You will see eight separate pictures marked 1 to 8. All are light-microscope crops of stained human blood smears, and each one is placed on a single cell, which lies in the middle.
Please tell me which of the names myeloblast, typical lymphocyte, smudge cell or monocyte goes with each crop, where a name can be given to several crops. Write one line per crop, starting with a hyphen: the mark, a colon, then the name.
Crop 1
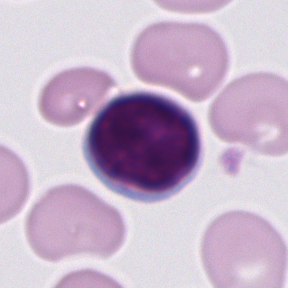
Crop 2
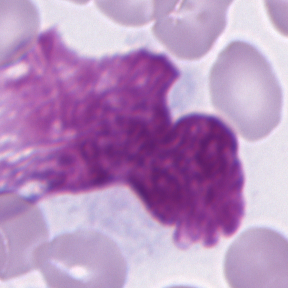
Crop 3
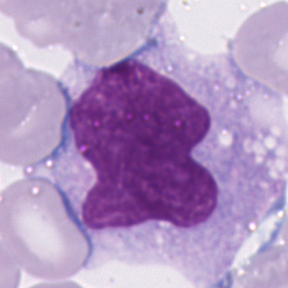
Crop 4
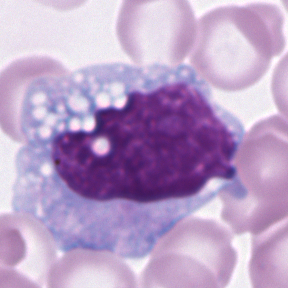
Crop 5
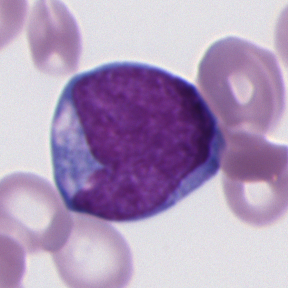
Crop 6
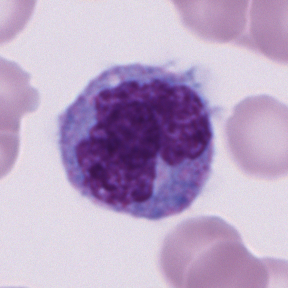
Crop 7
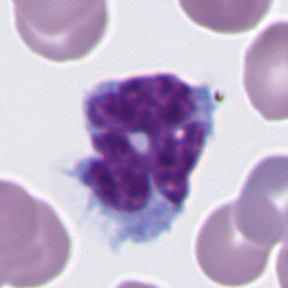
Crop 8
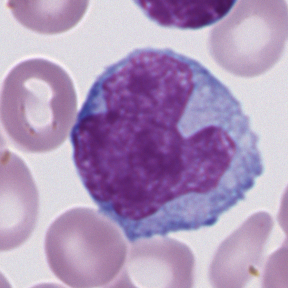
- 1: typical lymphocyte
- 2: smudge cell
- 3: monocyte
- 4: monocyte
- 5: myeloblast
- 6: monocyte
- 7: monocyte
- 8: monocyte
